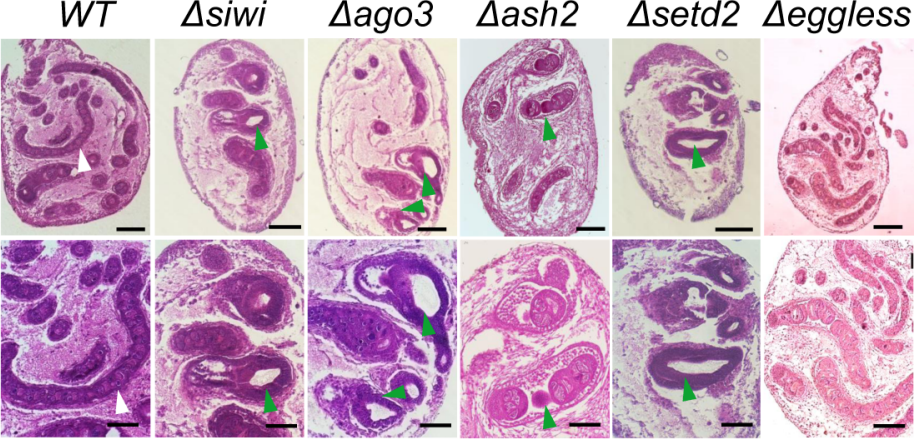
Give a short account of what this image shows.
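Cross sections of ovaries show ovarioles cut as purple-staining tubes in pale pink loose tissue. In the first column the ovarioles are long and winding and hold chains of egg chambers. In most other columns the ovarioles are fewer and short, and contain pale empty spaces and crowded purple cell masses.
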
